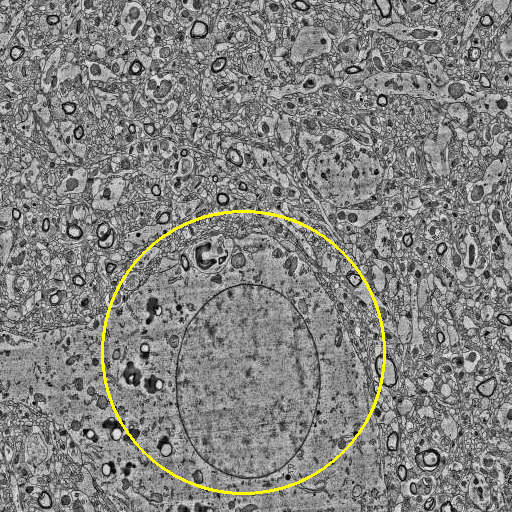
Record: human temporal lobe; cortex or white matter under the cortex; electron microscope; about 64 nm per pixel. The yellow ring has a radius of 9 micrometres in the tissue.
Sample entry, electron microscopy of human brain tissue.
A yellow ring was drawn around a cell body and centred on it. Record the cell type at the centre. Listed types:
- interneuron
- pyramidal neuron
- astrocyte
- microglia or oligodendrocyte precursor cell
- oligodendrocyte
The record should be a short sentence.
The cell at the ring's centre is a pyramidal neuron.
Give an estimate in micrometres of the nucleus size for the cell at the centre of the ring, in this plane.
The nucleus comes to roughly 12 by 9 micrometres in this plane.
